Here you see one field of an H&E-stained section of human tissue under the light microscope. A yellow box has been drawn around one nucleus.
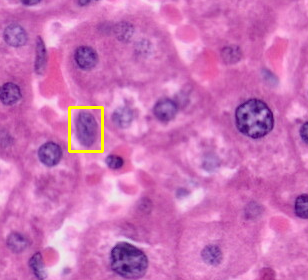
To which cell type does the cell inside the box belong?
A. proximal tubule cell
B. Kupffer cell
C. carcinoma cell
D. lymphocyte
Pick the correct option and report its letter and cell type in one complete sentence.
Among the choices, option B is correct, the cell inside the box being a Kupffer cell.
